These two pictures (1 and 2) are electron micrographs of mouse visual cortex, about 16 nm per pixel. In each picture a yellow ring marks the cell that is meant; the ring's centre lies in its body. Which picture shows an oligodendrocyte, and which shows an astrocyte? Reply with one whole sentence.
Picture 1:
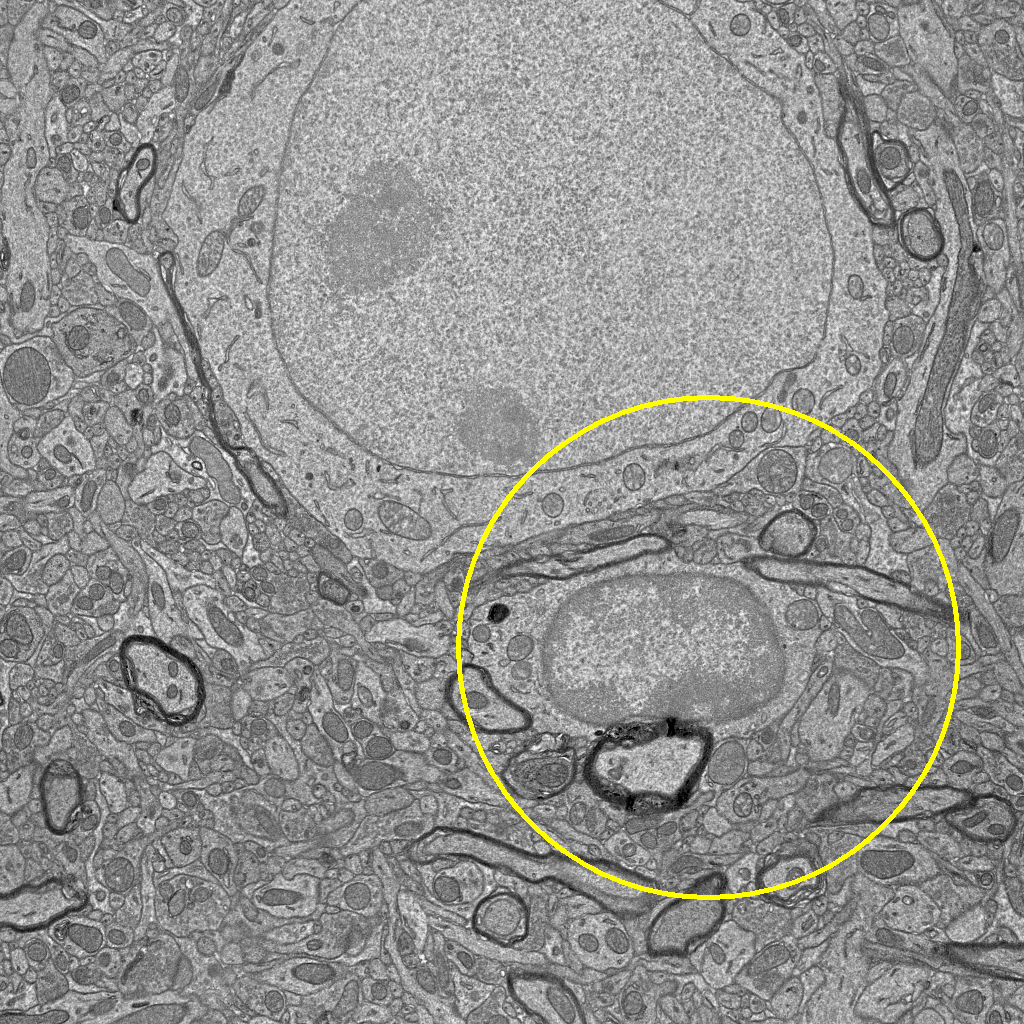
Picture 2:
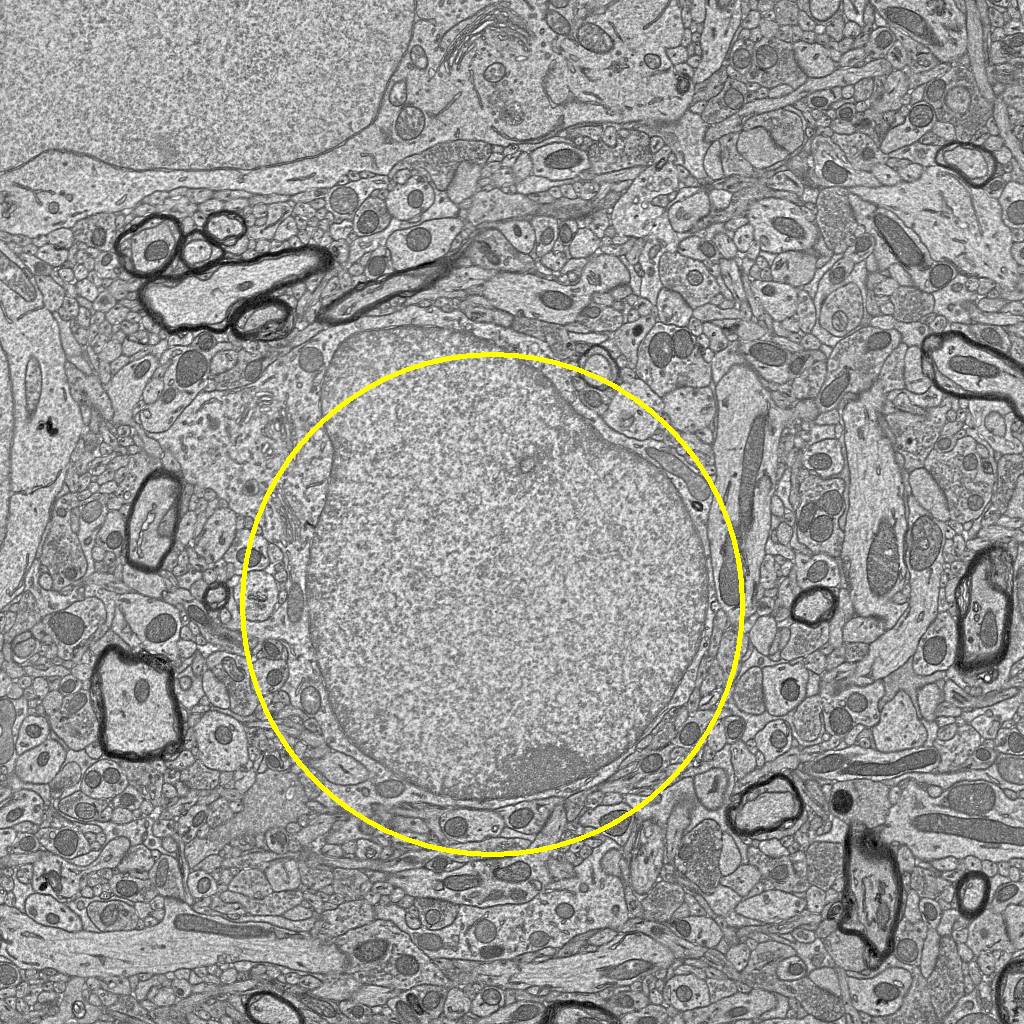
In picture 1 the cell is an oligodendrocyte; in picture 2, an astrocyte.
